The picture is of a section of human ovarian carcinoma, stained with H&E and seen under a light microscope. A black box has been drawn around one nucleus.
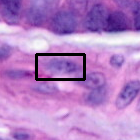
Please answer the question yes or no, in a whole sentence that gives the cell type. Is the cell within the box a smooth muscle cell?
No, the cell within the box is identified as an endothelial cell and not as a smooth muscle cell.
